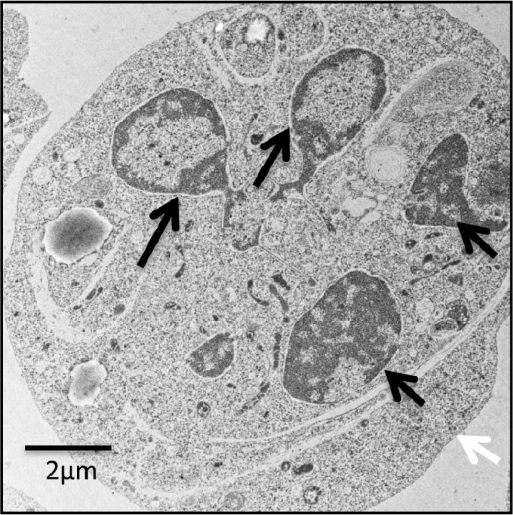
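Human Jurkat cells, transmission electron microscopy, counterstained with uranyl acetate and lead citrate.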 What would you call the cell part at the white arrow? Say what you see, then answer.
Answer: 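The white arrow points to a continuous, smooth cell boundary. The cell outline is unbroken. On this evidence: intact plasma membrane.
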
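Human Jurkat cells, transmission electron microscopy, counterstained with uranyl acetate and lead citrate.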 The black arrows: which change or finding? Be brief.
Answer: Chromatin condensation and karyorrhexis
